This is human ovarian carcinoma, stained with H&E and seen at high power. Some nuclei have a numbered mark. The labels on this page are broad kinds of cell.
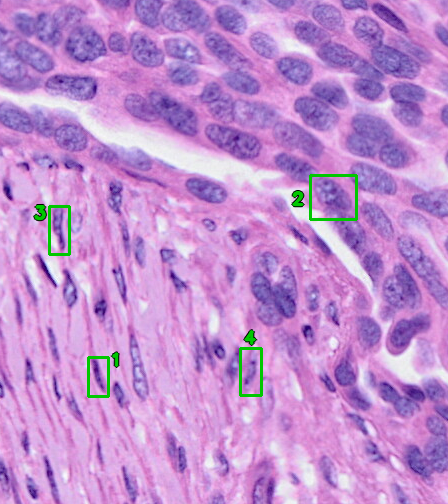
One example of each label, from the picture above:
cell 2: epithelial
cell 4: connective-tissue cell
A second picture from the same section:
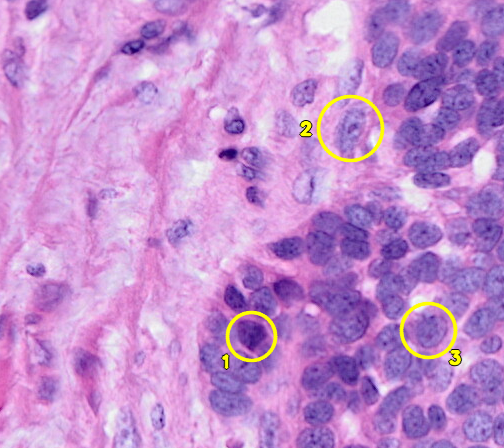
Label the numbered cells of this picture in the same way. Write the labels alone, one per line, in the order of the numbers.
epithelial
connective-tissue cell
epithelial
